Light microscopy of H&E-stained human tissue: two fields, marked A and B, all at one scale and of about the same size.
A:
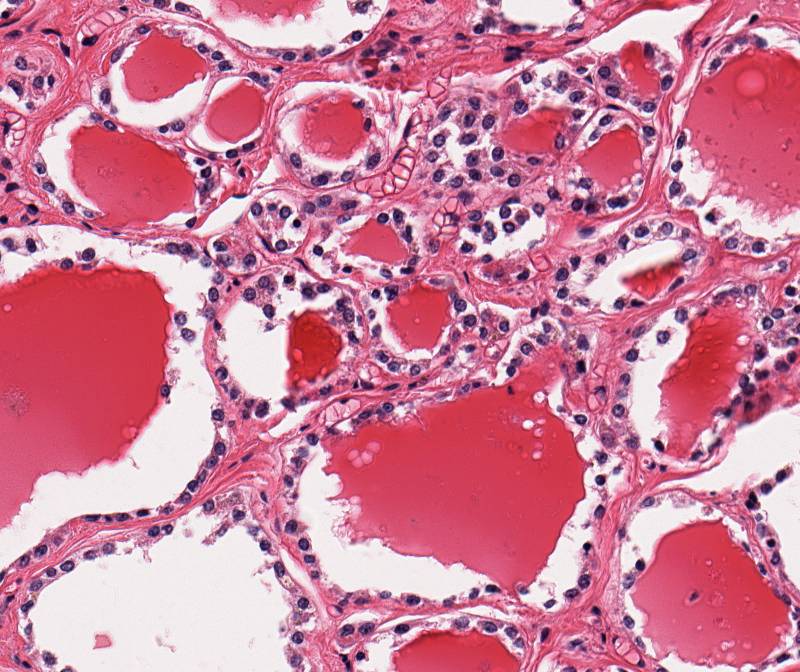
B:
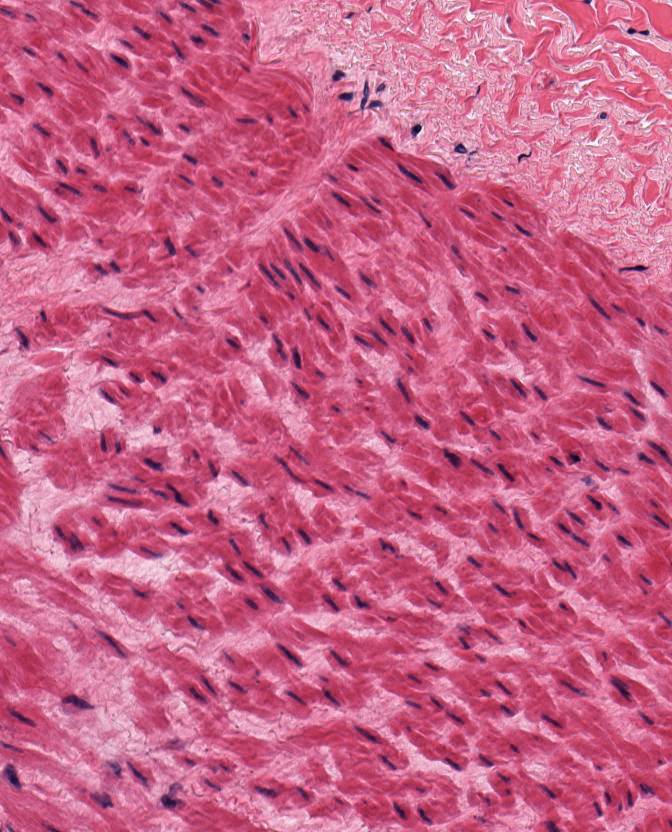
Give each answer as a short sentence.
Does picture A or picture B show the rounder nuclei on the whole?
On the whole the nuclei of picture A are rounder than those of picture B.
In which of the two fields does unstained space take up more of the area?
It is picture A in which white space covers the larger part.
